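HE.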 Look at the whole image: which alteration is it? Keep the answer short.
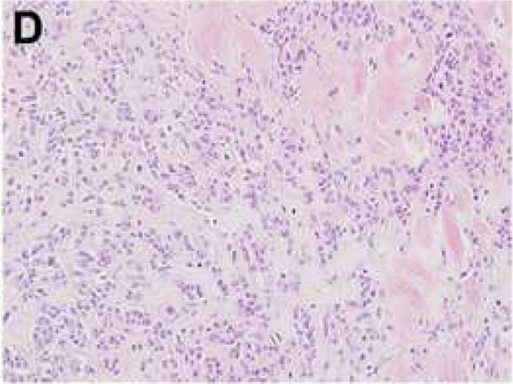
Trabecular cords admixed with abundant fibromyxoid matrix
